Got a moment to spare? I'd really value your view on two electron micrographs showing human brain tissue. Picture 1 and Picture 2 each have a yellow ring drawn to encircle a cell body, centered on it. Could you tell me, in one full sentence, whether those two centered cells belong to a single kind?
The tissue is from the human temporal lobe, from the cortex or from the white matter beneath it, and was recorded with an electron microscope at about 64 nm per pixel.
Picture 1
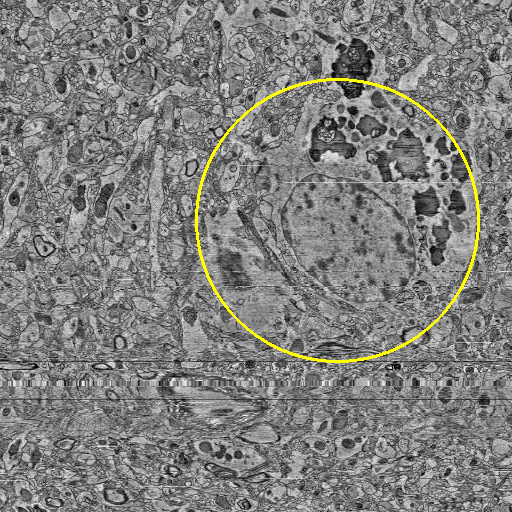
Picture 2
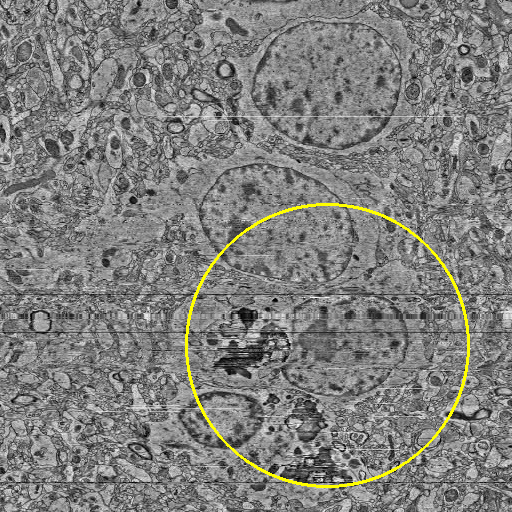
Yes, the two centered cells in Picture 1 and Picture 2 are of a single kind.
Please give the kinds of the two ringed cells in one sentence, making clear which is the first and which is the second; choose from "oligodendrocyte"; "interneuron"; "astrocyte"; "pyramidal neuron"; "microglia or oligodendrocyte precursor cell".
In the first picture and in the second, the ring is centred on an astrocyte.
